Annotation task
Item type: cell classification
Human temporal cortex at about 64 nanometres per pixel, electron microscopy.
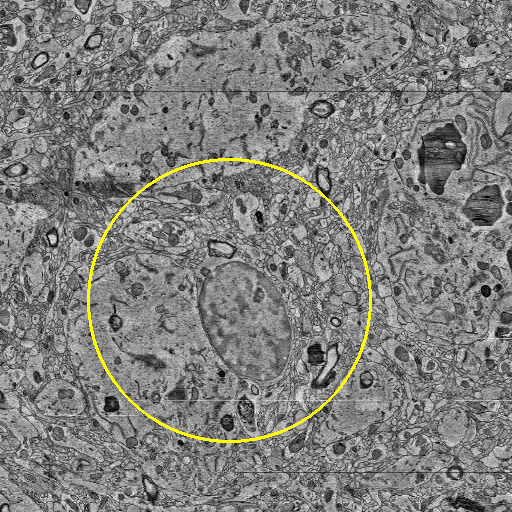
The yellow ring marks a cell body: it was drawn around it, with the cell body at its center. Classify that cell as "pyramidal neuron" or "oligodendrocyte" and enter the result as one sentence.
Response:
The ring's center falls on an oligodendrocyte.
